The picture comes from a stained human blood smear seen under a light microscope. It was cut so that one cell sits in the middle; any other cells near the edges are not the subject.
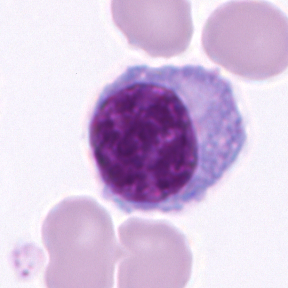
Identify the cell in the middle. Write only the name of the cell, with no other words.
plasma cell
